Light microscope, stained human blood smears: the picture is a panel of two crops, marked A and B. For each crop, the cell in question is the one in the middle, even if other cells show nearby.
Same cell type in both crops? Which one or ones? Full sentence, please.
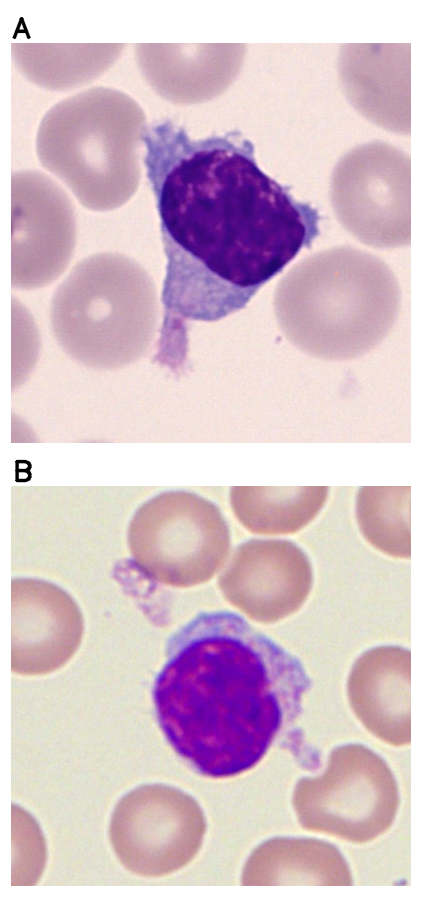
Yes, both crops show lymphocytes, with no exception.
